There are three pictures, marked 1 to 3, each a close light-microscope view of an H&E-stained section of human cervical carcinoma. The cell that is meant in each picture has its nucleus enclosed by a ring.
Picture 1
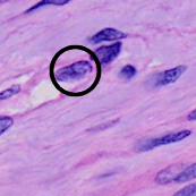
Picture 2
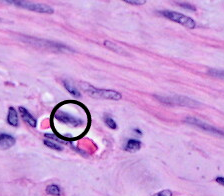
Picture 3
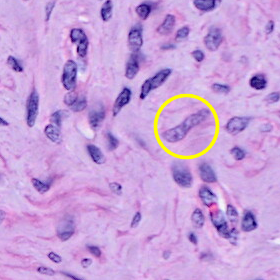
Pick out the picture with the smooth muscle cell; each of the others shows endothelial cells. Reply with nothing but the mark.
3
